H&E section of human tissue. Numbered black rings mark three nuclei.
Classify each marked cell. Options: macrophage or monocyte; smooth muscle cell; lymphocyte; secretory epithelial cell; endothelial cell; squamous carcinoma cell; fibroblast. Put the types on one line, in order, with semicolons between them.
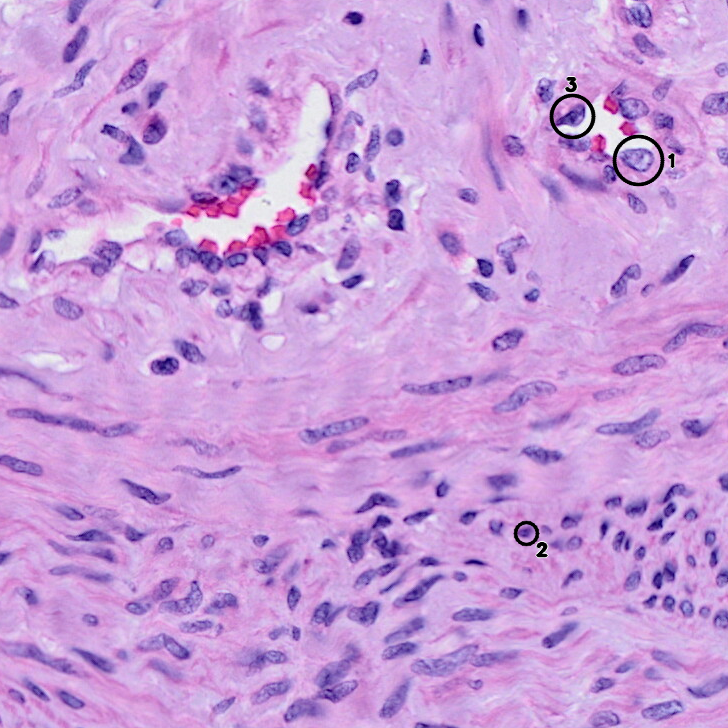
endothelial cell; smooth muscle cell; endothelial cell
